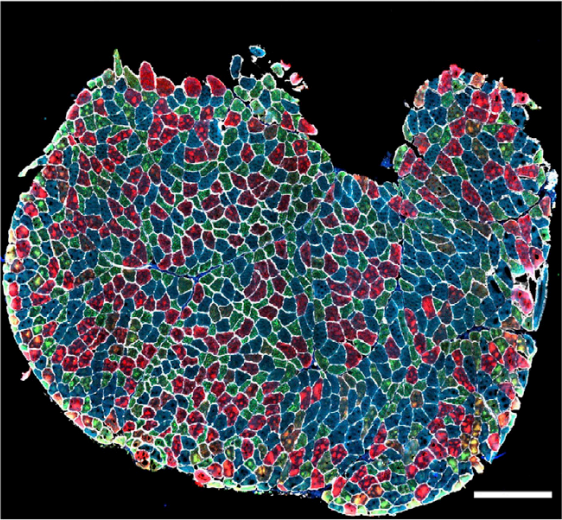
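This is a cross-section of a muscle in which the myofibers are cut transversely and packed closely together. Each myofiber appears as a polygonal profile with rounded corners, bounded by a thin white outline. The interiors of the fibers are filled with different colours, some red, some blue and some green, so that the fibers form a mosaic across the section. Fibers of different colours are intermixed throughout rather than gathered into separate regions. Near the edge of the section a few fibers are detached or lie loosely, and small cracks run into the tissue.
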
